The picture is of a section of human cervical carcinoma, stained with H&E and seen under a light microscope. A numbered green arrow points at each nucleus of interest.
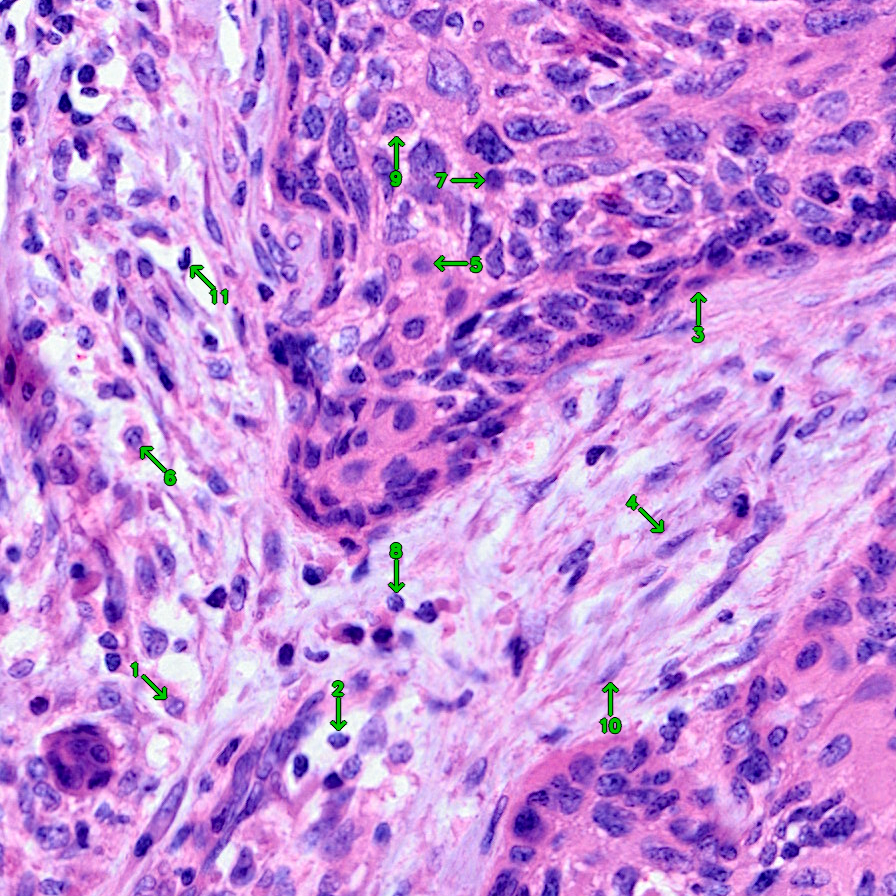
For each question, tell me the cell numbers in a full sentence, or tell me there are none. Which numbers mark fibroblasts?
In this section, the cells labelled 4 and 10 are fibroblasts.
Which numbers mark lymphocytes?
The numbers 2, 8 and 11 mark cells that are lymphocytes.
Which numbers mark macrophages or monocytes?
Identification: the cells with numbers 1 and 6 are macrophages or monocytes.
